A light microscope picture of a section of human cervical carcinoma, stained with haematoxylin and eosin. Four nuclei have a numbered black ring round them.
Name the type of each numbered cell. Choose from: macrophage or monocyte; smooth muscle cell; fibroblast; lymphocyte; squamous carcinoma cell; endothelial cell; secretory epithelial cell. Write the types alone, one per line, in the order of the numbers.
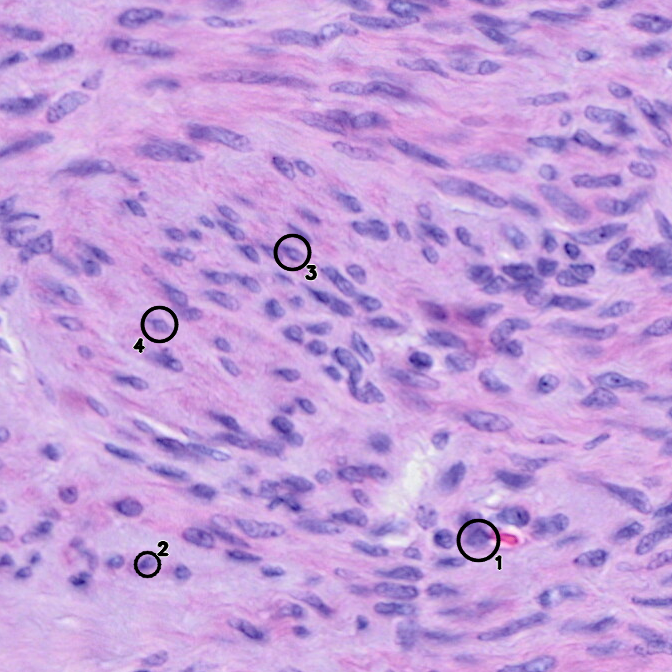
endothelial cell
smooth muscle cell
smooth muscle cell
smooth muscle cell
